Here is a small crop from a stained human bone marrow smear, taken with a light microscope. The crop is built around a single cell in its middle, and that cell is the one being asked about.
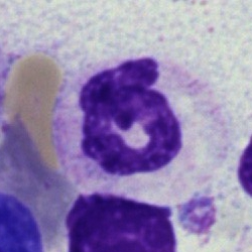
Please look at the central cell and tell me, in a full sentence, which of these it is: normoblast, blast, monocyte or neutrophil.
The cell at the centre of the field is a neutrophil.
